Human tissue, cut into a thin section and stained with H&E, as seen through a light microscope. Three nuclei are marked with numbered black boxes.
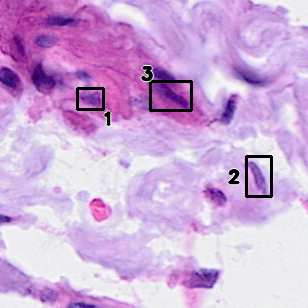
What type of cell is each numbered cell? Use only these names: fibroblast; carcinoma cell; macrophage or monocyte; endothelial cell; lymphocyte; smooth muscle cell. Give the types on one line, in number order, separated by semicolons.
smooth muscle cell; fibroblast; smooth muscle cell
